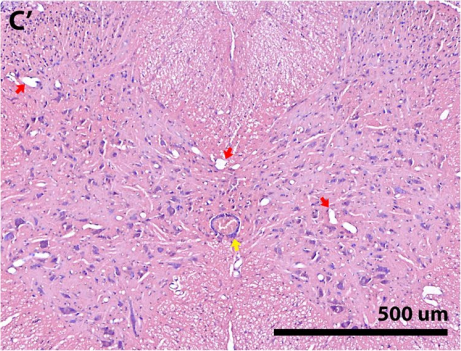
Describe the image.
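This is a transverse section through the central grey matter, with many large purple, angular cell bodies scattered through a pink background, the largest of them in the lower lateral parts consistent with large motoneurons. At the midline lies the small round central canal, ringed by a thin layer of purple nuclei. Empty white channels of various shapes, the cut vasculature, are spread through the tissue. Above the canal a paler, finely fibrous region wedges between the two halves of grey matter.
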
